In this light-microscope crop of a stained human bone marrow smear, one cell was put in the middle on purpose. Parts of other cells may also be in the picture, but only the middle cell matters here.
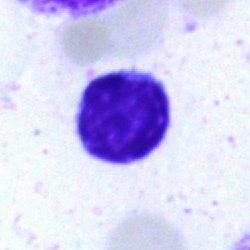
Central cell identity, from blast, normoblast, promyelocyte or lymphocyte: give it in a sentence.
Centrally within this crop lies a lymphocyte.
